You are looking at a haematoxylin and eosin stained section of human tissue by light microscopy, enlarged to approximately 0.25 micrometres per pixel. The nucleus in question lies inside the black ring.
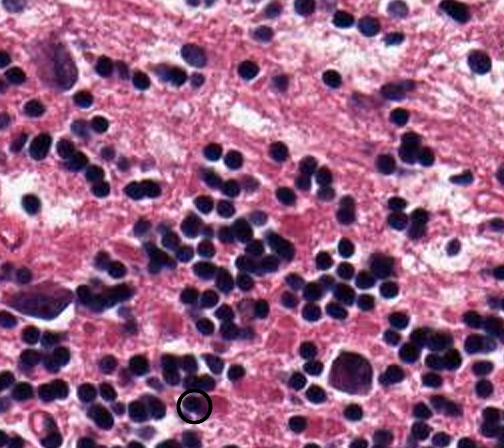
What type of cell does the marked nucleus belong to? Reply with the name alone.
cerebellar granule cell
